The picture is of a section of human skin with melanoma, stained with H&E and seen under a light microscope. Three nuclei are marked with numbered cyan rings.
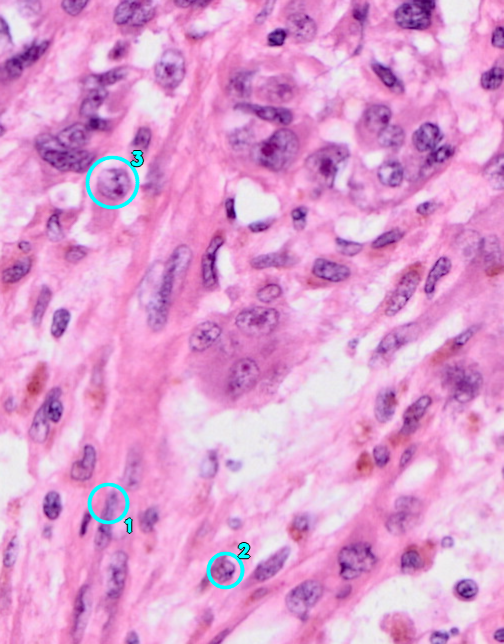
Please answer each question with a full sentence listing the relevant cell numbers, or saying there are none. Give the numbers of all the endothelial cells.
Only the nucleus marked 1 is that of an endothelial cell.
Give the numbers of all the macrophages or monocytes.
Cell 2 is the only numbered cell that is a macrophage or monocyte.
